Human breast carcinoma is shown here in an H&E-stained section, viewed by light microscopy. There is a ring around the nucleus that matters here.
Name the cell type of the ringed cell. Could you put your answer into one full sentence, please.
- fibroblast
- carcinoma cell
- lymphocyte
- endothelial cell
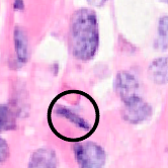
Histopathologically, the ringed cell is an endothelial cell.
